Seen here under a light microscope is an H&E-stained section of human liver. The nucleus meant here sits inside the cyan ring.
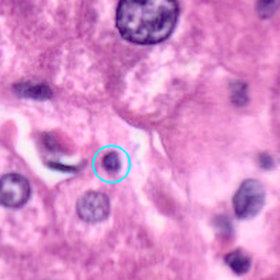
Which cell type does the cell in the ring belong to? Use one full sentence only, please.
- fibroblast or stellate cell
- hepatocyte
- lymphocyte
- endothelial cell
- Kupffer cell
With respect to cell type, the cell in the ring is a lymphocyte.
